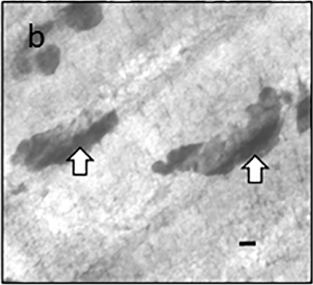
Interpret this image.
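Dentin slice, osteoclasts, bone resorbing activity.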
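The pits appear as dark grey, elongated excavations with irregular, lobed margins set against a paler, faintly streaked grey background. Two larger elongated pits lie obliquely across the middle of the field, with further dark patches near the upper edge.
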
